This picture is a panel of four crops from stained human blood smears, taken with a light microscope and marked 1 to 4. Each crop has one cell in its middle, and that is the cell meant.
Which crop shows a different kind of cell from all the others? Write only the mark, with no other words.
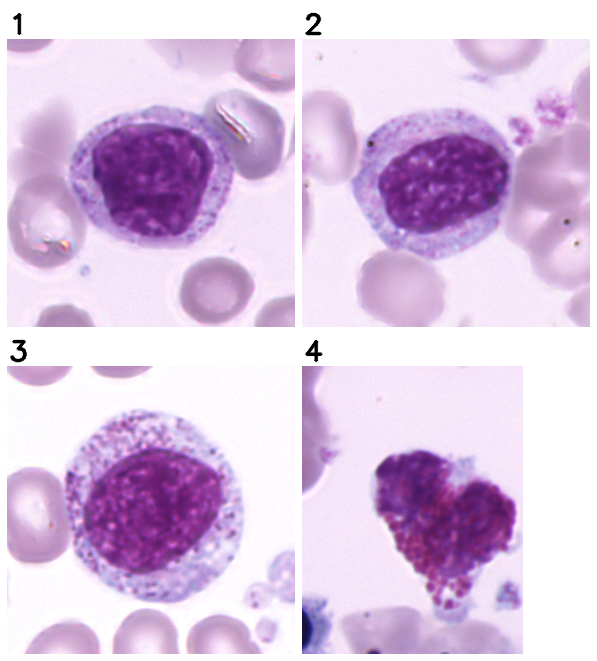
4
